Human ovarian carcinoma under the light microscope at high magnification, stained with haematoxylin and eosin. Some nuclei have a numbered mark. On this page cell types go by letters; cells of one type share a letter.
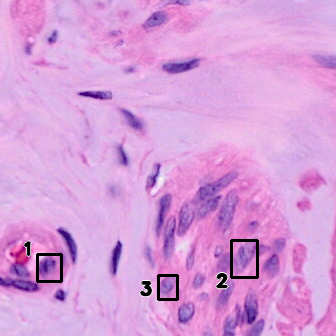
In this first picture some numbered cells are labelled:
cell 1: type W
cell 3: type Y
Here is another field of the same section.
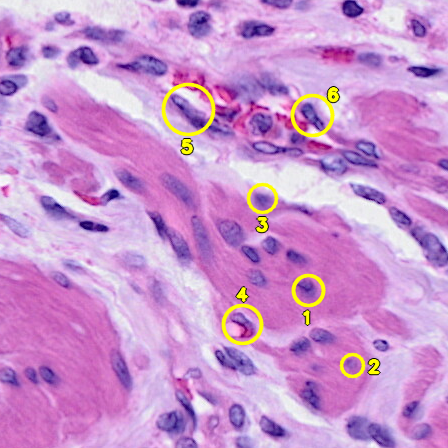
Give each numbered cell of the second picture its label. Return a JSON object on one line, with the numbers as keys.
{"1": "type Y", "2": "type Y", "3": "type Y", "4": "type W", "5": "type W", "6": "type W"}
